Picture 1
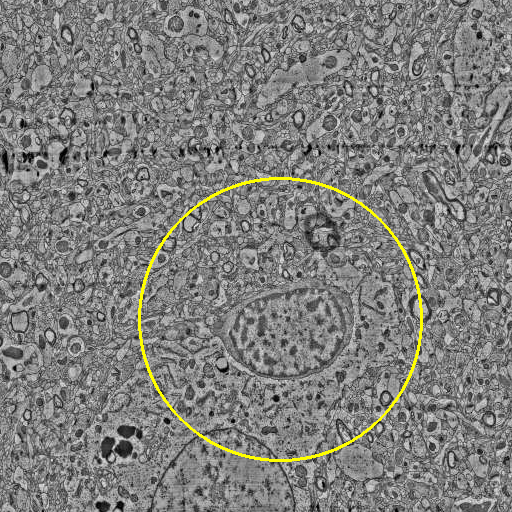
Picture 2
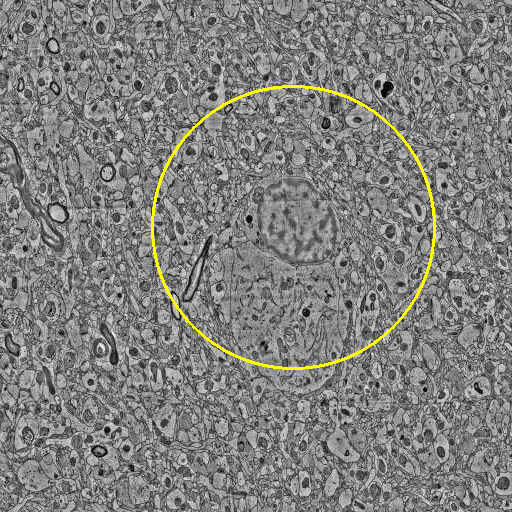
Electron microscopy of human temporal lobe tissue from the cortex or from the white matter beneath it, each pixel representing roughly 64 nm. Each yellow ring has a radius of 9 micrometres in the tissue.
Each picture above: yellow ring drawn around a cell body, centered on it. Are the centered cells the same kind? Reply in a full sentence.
Yes, the two cells are the same kind.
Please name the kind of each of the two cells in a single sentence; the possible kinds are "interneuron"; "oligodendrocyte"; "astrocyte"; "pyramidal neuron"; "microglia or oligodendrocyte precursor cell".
Each one of the two ringed cells is an oligodendrocyte.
